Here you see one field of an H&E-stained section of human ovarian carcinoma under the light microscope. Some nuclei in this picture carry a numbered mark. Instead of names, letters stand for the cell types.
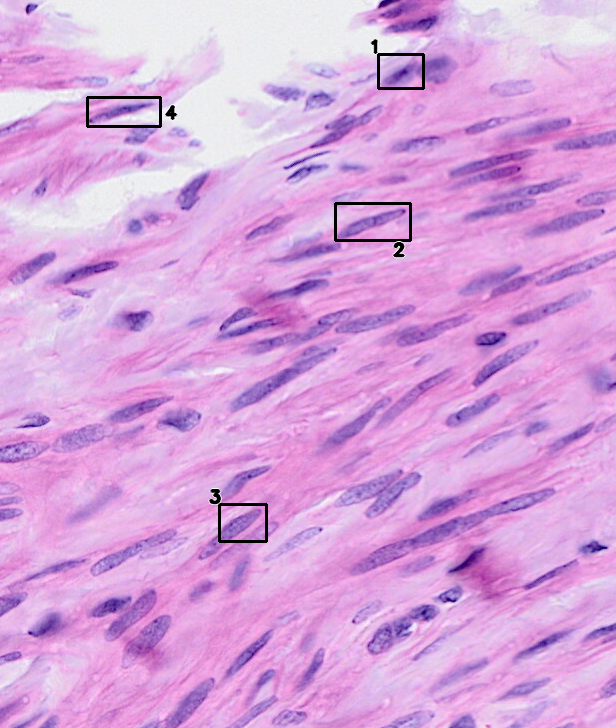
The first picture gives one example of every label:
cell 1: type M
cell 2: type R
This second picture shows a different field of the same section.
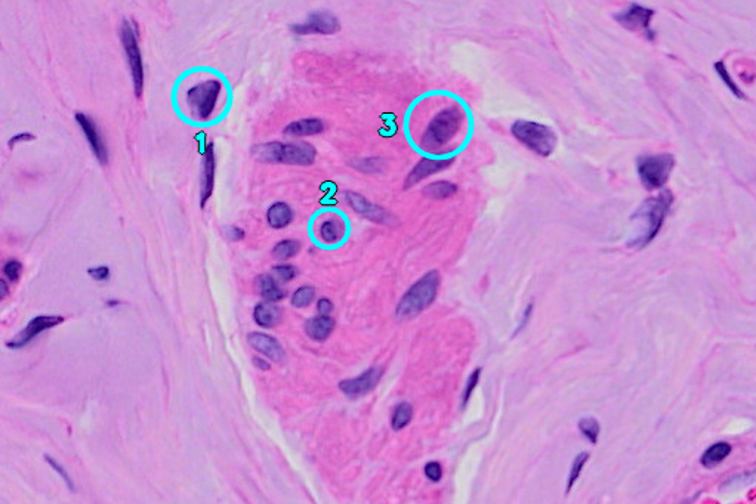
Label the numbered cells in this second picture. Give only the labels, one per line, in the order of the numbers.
type M
type R
type R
